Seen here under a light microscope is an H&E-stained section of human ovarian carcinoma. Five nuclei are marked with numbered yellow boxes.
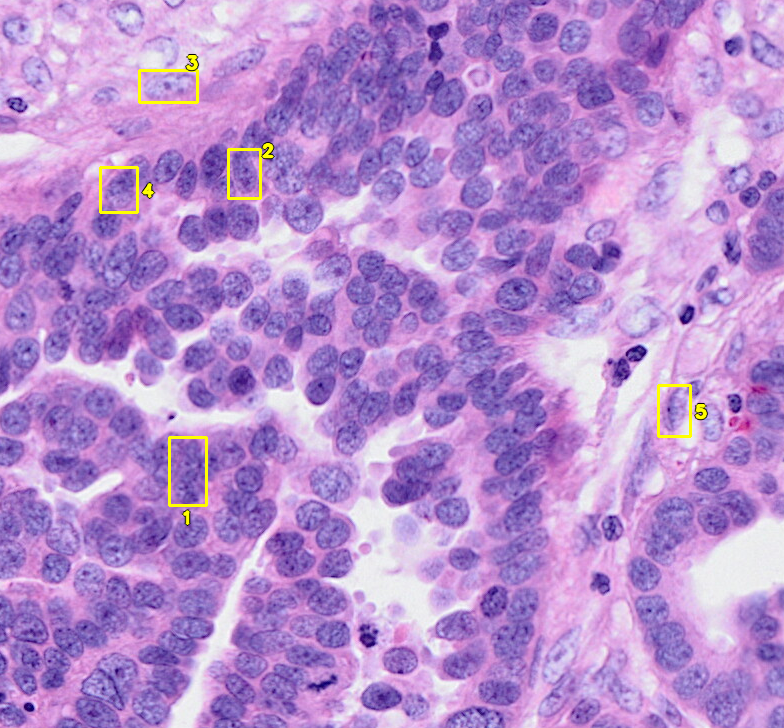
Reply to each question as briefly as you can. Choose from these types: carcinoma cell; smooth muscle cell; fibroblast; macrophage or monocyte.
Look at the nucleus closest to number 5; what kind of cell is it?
macrophage or monocyte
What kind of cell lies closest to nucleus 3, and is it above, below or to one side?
a fibroblast above nucleus 3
